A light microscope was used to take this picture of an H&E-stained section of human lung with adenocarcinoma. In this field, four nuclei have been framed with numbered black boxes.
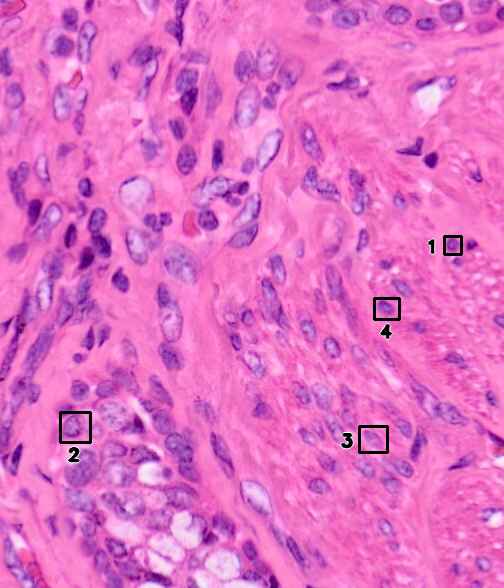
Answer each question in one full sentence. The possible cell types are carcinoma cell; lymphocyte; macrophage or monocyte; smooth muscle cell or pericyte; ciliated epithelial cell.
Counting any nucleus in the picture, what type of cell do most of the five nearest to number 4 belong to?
Smooth muscle cells or pericytes make up most of the five nuclei closest to number 4.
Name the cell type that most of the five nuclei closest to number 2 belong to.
Around number 2, most of the five nearest nuclei are those of ciliated epithelial cells.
